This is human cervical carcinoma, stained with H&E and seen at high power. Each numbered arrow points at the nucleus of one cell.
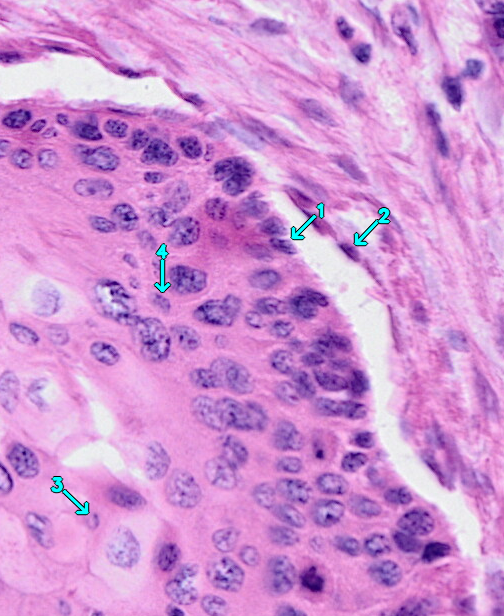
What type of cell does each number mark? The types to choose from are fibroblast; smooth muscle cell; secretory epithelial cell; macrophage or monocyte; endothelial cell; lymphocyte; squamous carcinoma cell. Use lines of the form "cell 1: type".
cell 1: squamous carcinoma cell
cell 2: fibroblast
cell 3: squamous carcinoma cell
cell 4: squamous carcinoma cell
